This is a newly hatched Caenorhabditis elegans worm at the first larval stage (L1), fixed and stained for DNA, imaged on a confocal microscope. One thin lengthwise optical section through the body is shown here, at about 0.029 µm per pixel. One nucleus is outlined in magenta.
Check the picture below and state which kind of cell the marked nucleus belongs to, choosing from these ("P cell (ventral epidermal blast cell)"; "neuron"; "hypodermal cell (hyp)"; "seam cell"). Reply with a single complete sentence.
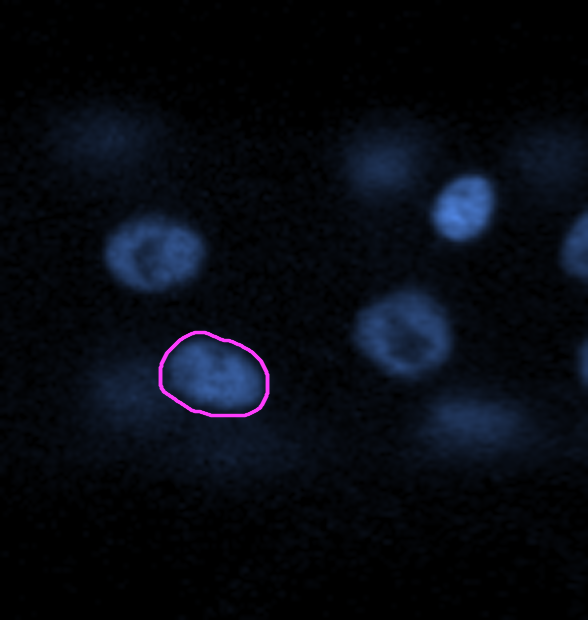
The nucleus comes from a P cell (ventral epidermal blast cell).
